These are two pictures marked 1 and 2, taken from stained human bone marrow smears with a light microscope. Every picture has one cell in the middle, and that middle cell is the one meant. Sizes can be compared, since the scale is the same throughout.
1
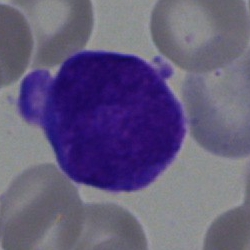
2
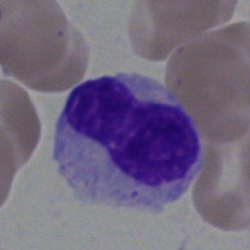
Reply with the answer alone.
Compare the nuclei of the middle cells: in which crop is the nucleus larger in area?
1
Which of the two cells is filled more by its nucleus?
1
